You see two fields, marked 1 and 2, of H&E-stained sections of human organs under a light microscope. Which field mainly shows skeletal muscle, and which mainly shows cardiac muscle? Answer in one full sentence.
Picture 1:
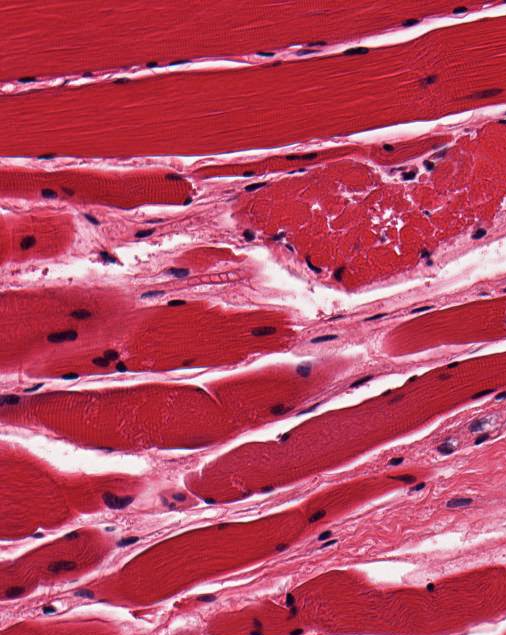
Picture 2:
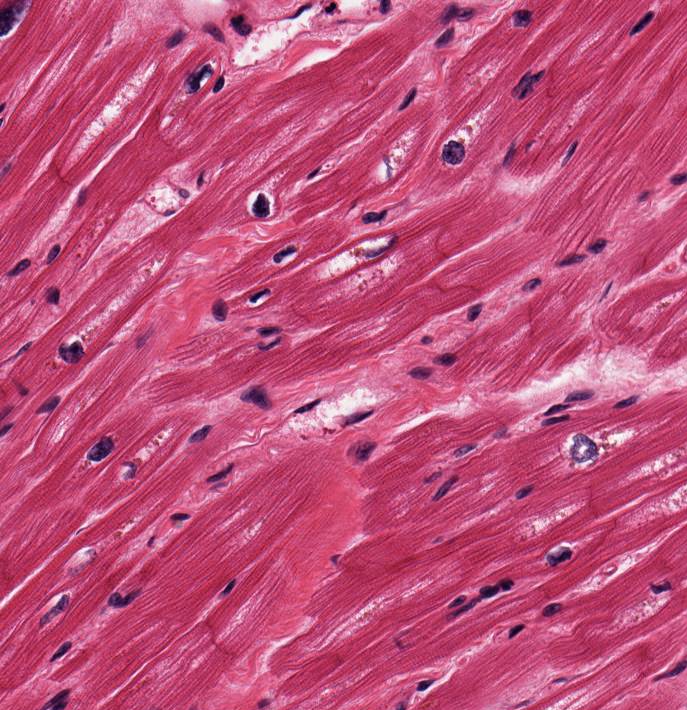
Picture 1 mainly shows skeletal muscle and picture 2 mainly shows cardiac muscle.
